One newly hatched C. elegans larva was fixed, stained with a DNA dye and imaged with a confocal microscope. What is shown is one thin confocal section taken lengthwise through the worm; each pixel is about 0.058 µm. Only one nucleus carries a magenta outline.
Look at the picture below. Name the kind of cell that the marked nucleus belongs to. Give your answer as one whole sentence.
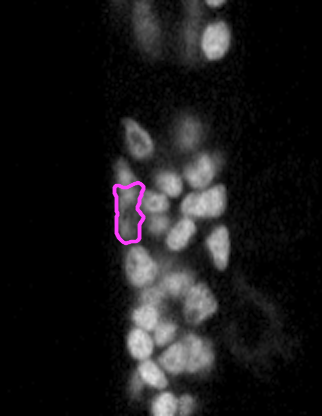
The marked nucleus is that of a hypodermal cell (hyp).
